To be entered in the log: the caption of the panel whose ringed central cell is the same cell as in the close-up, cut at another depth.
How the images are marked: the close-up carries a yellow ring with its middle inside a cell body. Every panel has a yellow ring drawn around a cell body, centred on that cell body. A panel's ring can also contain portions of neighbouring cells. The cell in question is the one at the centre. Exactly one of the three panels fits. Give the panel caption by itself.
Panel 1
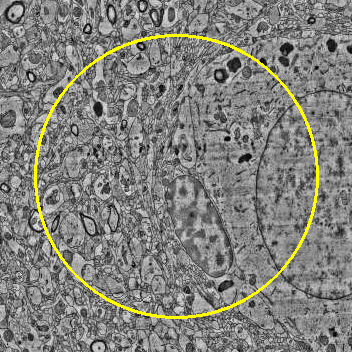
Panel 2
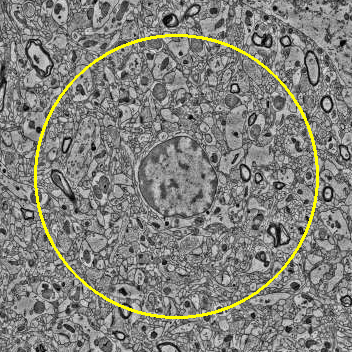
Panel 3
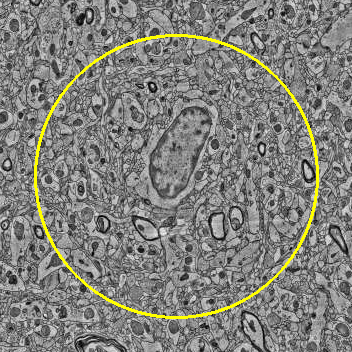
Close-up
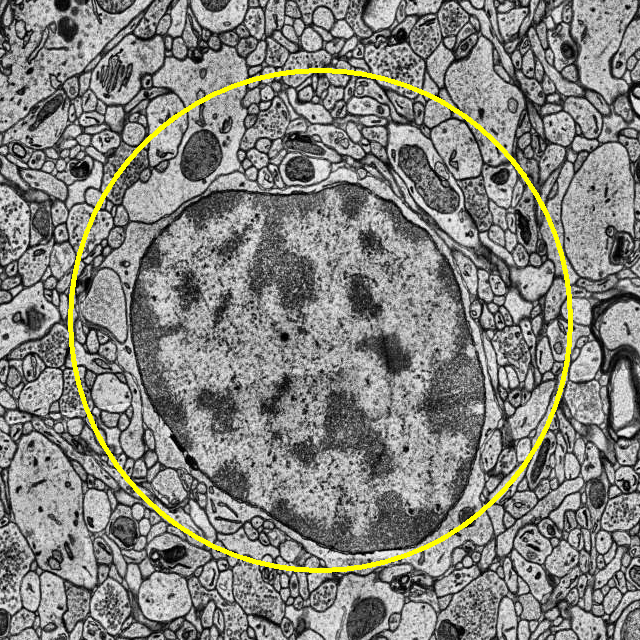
Panel 2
